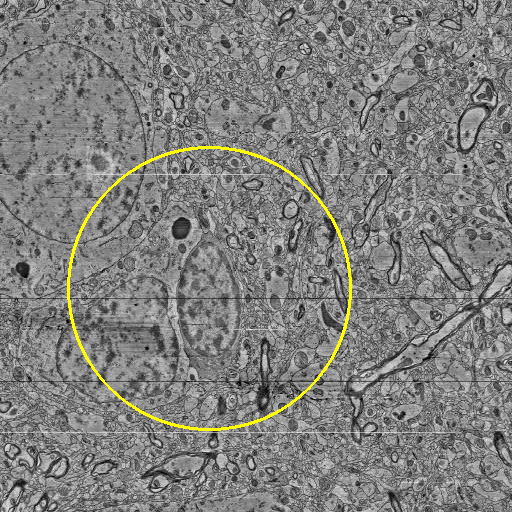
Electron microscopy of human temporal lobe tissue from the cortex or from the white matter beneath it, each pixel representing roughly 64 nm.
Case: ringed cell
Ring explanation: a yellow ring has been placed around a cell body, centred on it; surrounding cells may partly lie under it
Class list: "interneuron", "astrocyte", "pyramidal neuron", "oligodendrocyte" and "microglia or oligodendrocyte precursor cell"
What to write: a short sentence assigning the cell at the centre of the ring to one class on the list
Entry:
The cell at the ring's centre is an oligodendrocyte.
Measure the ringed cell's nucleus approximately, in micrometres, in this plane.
About 8 by 4 micrometres, the nucleus being clearly longer than it is wide in this plane.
